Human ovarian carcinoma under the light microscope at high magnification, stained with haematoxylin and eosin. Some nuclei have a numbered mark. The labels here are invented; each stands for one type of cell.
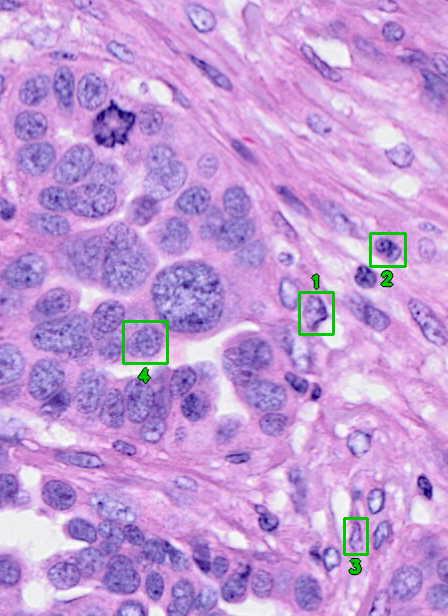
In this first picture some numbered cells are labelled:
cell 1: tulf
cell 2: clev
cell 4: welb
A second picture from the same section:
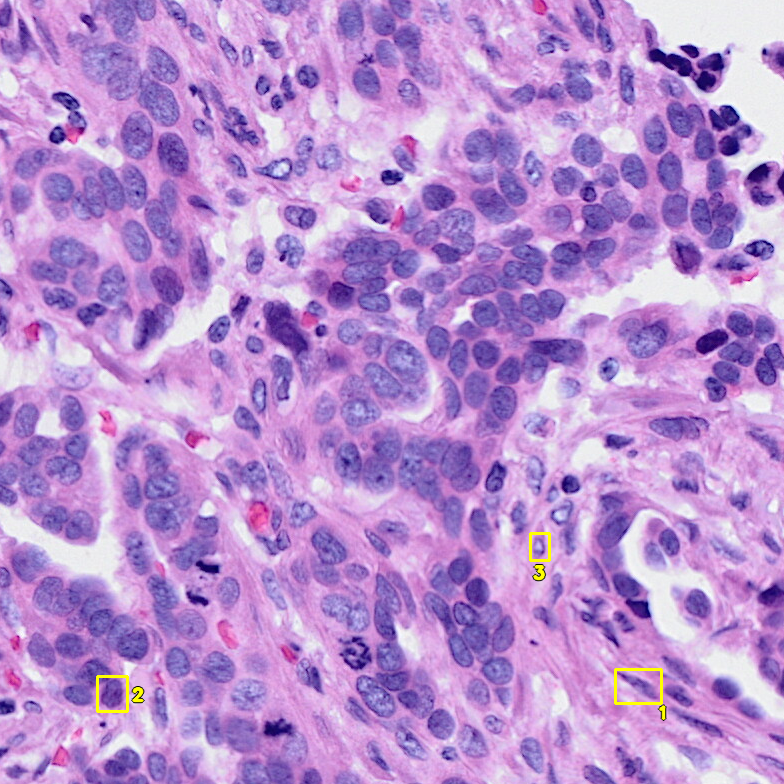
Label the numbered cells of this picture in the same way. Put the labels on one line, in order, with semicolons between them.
tulf; welb; tulf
